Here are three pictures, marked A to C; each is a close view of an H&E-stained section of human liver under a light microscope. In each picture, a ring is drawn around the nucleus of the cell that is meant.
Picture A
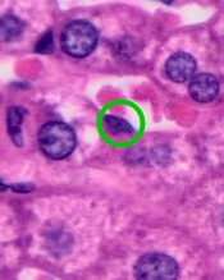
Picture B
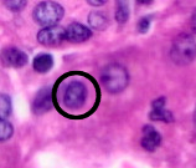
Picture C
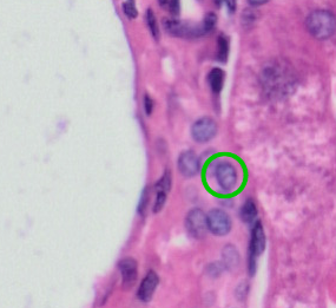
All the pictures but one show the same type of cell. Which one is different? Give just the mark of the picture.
A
